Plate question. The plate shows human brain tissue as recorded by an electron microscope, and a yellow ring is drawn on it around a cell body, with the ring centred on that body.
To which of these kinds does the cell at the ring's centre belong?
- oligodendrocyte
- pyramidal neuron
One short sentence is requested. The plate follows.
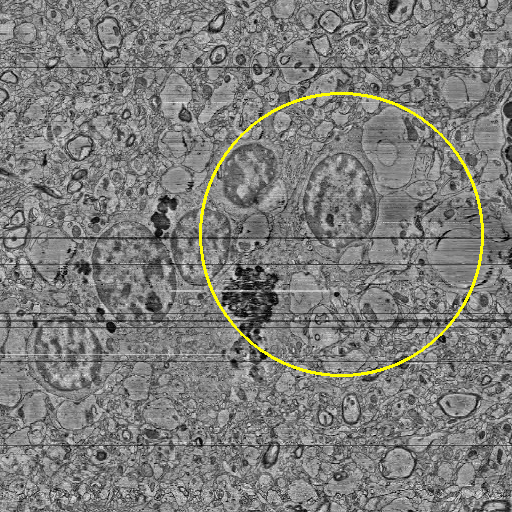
The cell at the ring's centre is an oligodendrocyte.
